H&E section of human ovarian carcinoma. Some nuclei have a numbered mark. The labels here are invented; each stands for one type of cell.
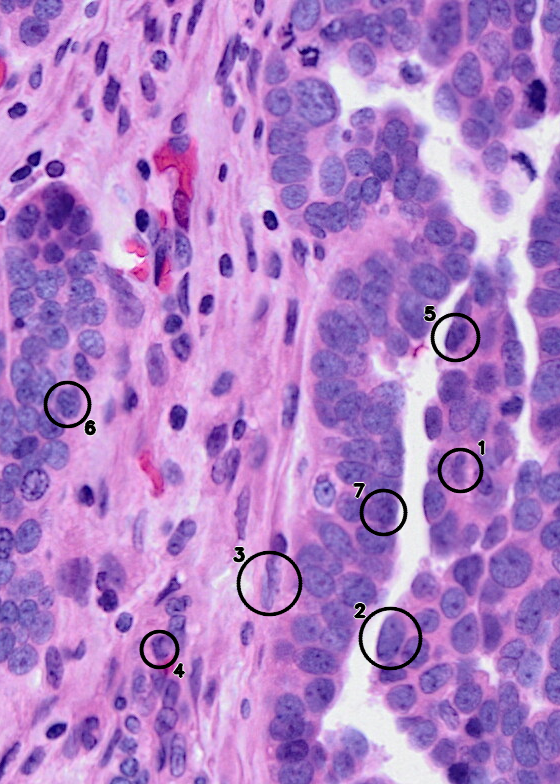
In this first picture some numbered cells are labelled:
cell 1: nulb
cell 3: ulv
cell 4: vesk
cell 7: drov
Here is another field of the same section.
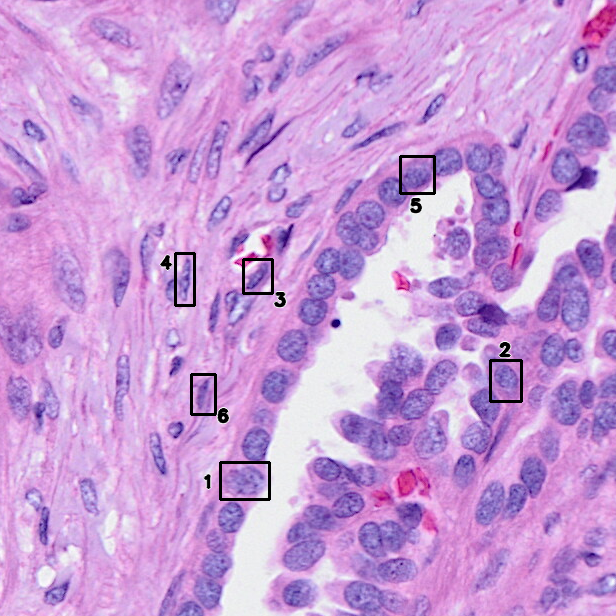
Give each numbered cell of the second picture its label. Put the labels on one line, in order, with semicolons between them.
drov; drov; vesk; ulv; drov; ulv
